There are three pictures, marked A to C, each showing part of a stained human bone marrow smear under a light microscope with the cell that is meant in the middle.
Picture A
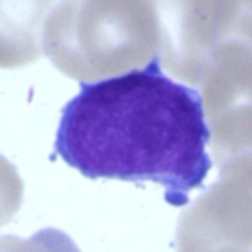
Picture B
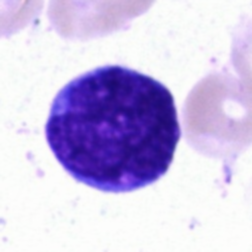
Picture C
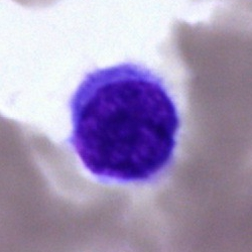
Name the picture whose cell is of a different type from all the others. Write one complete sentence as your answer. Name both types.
Picture C differs, because its cell is a lymphocyte and the rest are blasts.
